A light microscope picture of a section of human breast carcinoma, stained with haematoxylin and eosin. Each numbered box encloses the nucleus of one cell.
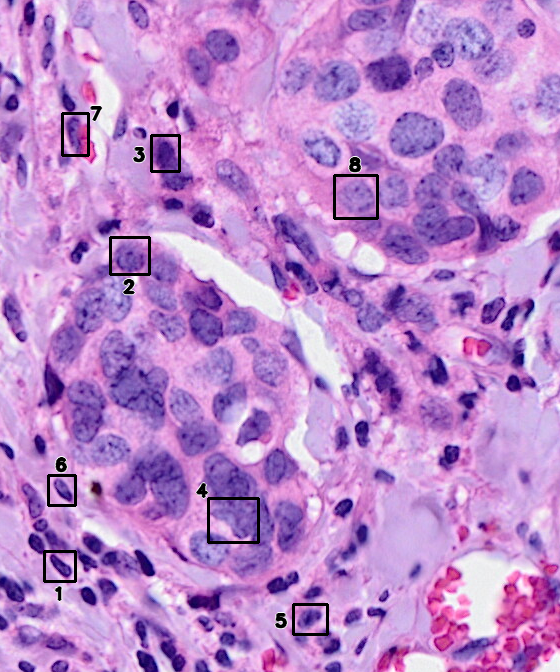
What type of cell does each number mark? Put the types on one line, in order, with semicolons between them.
lymphocyte; carcinoma cell; carcinoma cell; carcinoma cell; lymphocyte; lymphocyte; endothelial cell; carcinoma cell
